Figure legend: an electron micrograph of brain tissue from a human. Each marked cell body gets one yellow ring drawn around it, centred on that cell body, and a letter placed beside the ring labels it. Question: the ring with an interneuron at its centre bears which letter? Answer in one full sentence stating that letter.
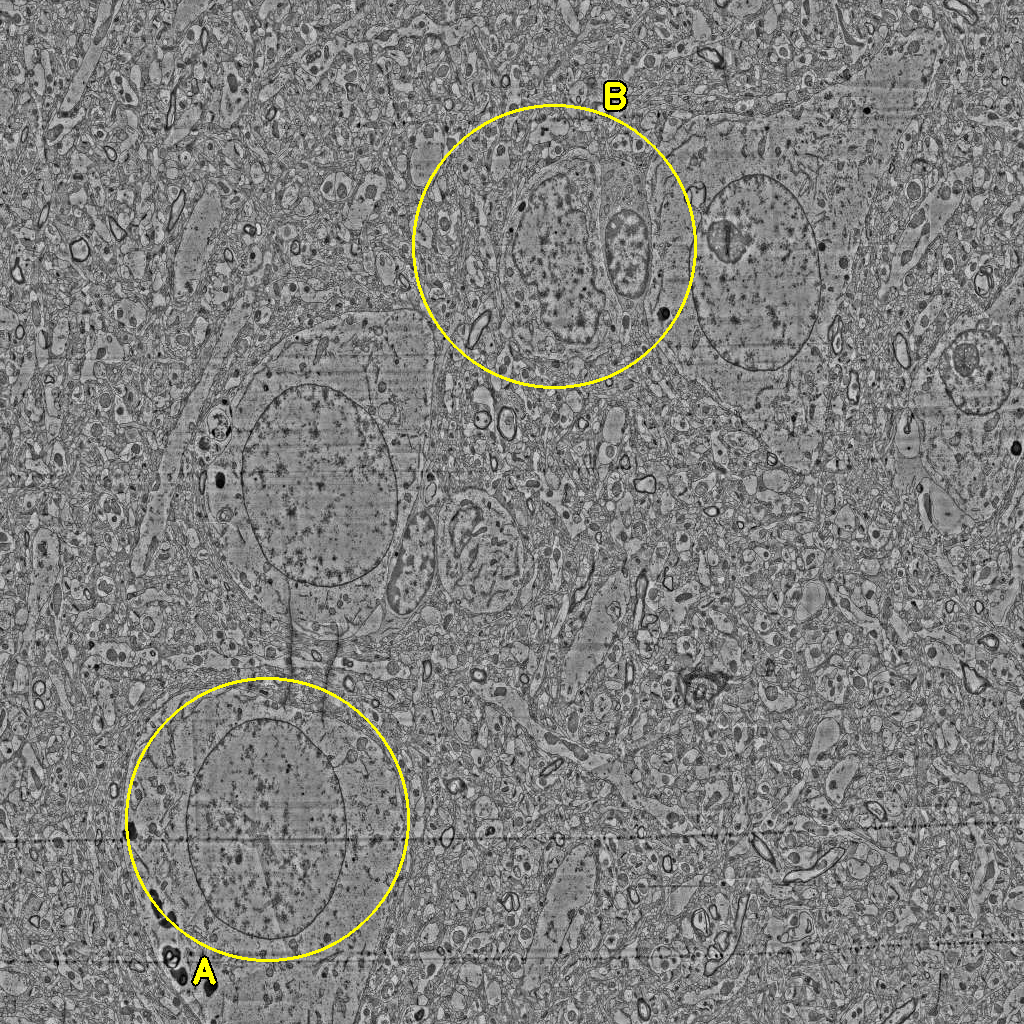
Labelled B is the ring whose centre holds the cell asked for in this picture.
